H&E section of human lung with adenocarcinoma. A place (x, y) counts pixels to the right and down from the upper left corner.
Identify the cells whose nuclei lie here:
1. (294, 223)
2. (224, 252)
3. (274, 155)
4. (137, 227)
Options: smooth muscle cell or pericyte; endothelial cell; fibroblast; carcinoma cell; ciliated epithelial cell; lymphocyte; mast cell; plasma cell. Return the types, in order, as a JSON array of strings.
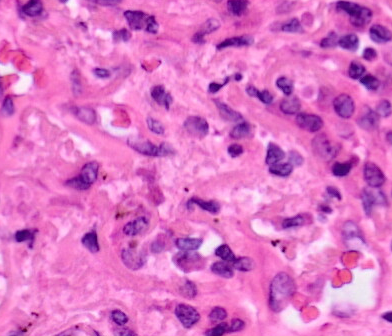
["plasma cell", "lymphocyte", "lymphocyte", "plasma cell"]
